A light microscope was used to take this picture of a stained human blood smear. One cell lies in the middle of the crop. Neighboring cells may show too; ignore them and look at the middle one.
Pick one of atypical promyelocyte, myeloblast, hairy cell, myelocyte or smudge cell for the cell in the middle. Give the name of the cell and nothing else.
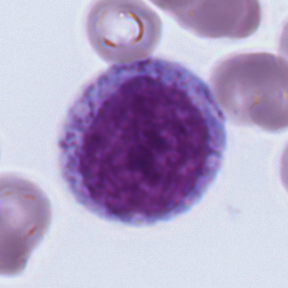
myelocyte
